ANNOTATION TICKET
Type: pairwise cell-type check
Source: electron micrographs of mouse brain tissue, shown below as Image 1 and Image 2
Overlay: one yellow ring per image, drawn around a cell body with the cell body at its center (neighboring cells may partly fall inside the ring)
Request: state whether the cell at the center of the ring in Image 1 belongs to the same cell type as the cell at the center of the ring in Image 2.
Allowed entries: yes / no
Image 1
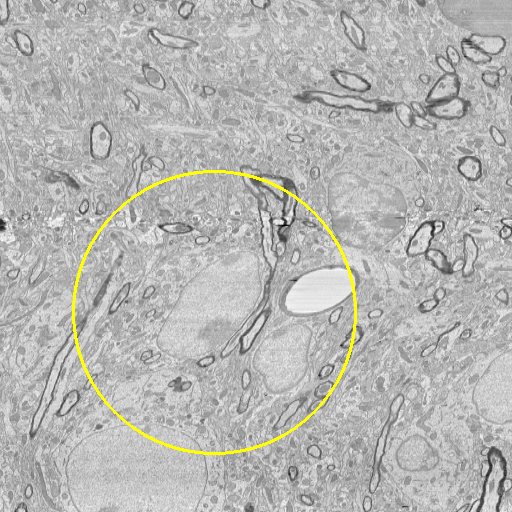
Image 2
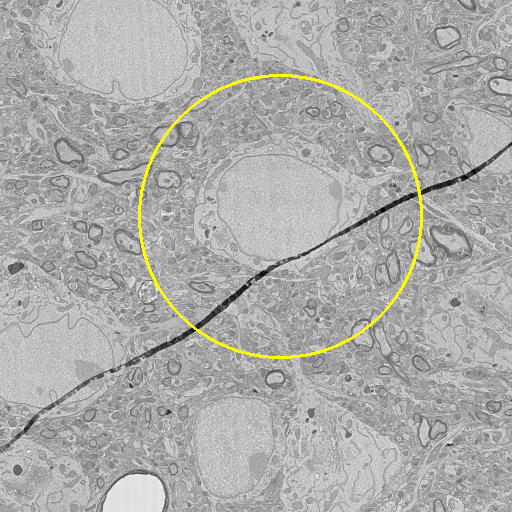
no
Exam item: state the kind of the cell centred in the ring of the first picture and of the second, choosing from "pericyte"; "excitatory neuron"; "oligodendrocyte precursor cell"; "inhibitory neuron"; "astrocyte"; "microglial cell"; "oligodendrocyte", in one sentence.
The first picture shows an astrocyte at the ring centre and the second shows an excitatory neuron.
